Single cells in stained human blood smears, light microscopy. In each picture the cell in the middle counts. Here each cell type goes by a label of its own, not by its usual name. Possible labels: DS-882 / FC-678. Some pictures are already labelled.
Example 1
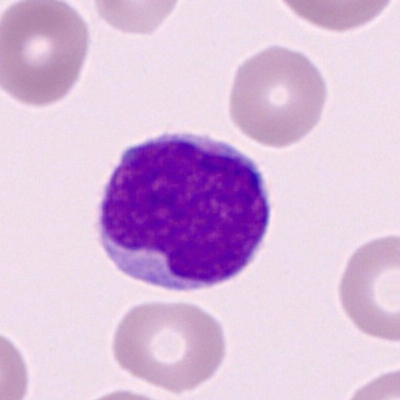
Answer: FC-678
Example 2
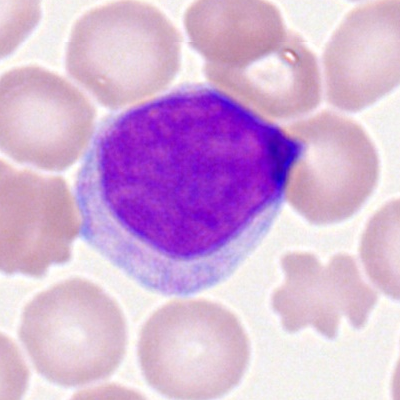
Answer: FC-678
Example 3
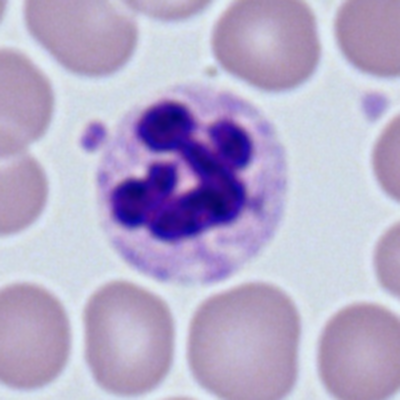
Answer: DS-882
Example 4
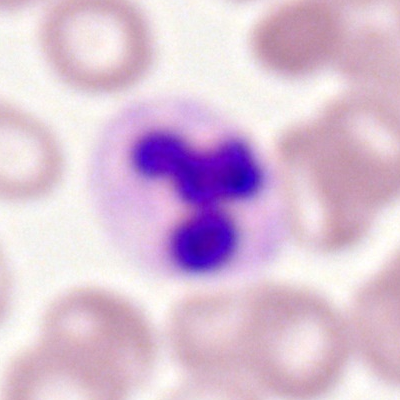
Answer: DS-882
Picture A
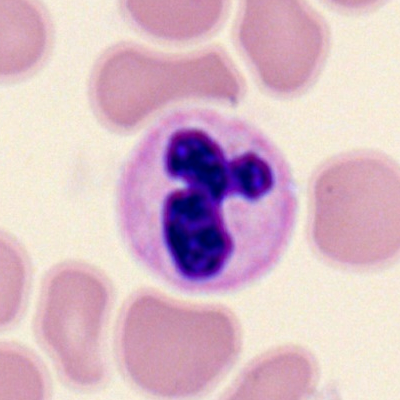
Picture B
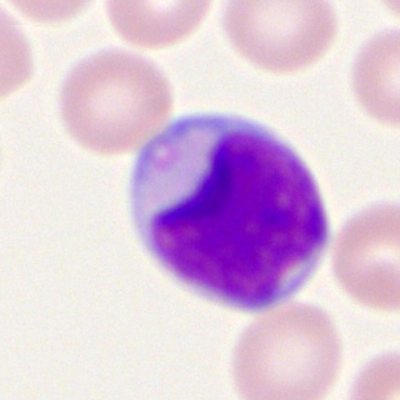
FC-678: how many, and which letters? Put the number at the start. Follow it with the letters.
Count: 1 (B)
